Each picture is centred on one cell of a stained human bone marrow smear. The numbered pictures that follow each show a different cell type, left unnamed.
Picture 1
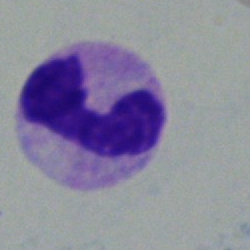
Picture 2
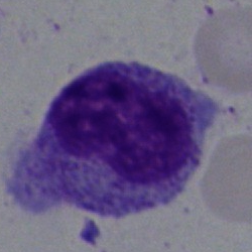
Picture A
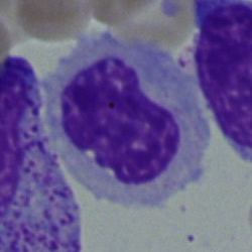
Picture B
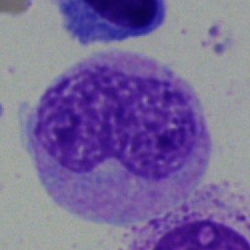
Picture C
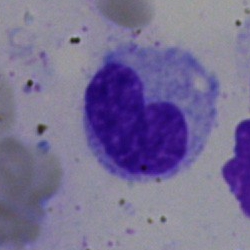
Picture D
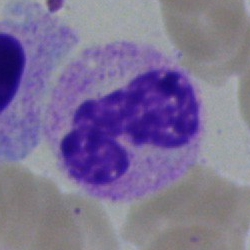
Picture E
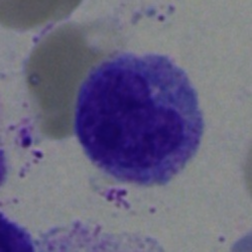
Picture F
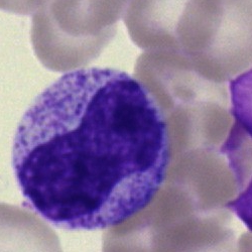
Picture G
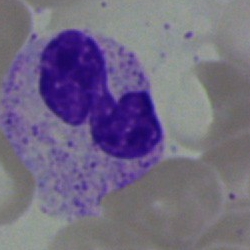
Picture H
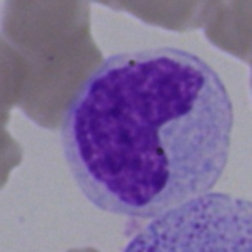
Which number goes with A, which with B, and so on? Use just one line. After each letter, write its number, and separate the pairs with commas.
A 2, B 2, C 2, D 1, E 2, F 2, G 1, H 2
